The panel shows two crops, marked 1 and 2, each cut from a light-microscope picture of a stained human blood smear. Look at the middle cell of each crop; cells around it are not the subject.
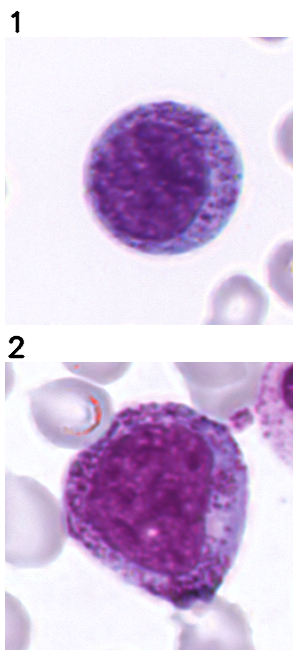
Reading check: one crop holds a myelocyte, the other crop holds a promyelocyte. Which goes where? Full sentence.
Crop 1 here is a myelocyte, and crop 2 is a promyelocyte.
